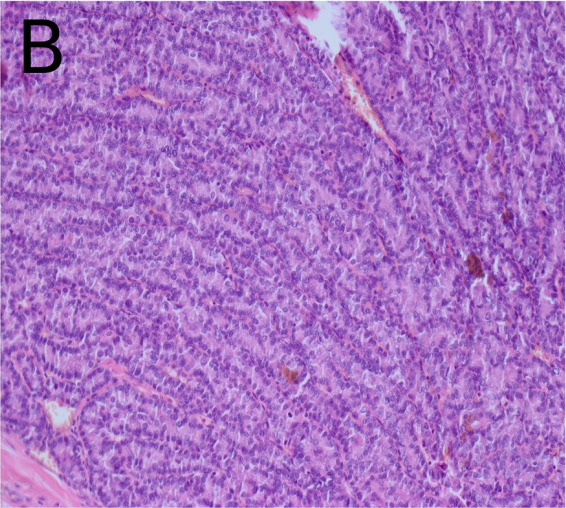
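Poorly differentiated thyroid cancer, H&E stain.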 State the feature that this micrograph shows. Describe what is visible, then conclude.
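Trabecular pattern of growth. Tumour cells are arranged in long, narrow, parallel cords. The cords are separated by thin slit-like spaces and delicate vessels.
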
